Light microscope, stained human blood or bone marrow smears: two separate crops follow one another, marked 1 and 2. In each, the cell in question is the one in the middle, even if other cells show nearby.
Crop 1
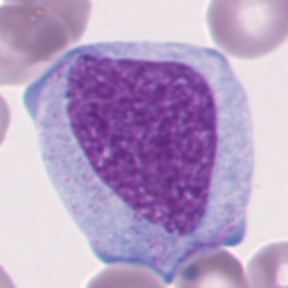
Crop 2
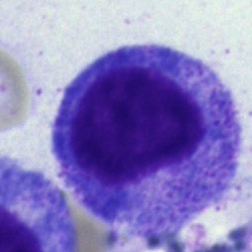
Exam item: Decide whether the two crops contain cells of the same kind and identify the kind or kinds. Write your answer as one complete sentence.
Yes, both crops here show promyelocytes, the pair of them.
